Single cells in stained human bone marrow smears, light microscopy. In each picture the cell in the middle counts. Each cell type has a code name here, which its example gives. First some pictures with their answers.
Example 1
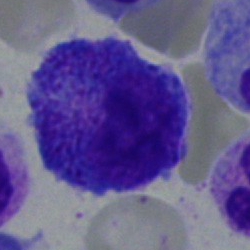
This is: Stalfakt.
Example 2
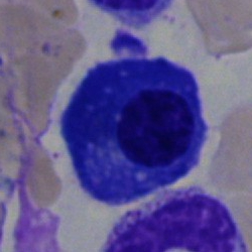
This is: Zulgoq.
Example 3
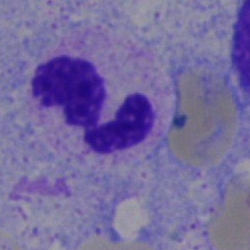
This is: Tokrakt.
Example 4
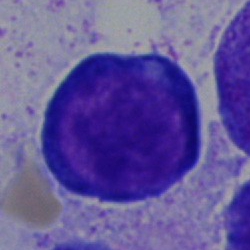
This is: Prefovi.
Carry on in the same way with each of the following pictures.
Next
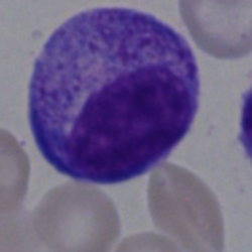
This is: Stalfakt.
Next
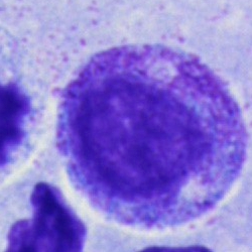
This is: Stalfakt.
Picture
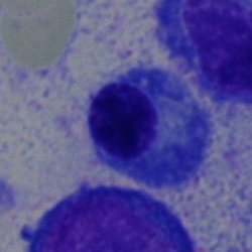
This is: Zulgoq.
